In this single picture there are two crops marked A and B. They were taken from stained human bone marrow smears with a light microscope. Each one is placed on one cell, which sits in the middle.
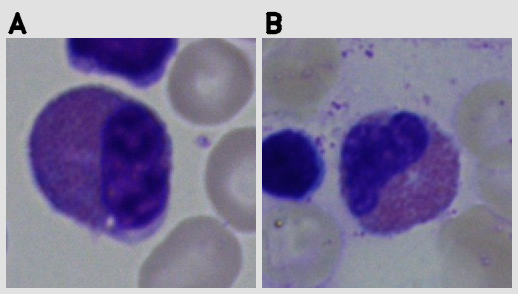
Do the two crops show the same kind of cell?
yes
